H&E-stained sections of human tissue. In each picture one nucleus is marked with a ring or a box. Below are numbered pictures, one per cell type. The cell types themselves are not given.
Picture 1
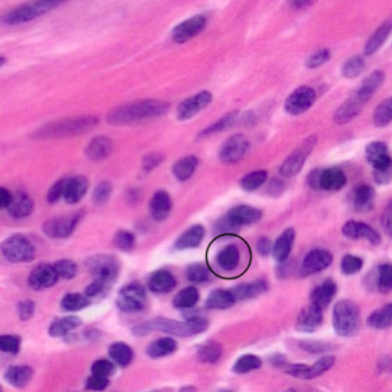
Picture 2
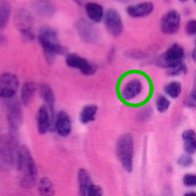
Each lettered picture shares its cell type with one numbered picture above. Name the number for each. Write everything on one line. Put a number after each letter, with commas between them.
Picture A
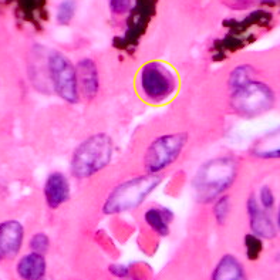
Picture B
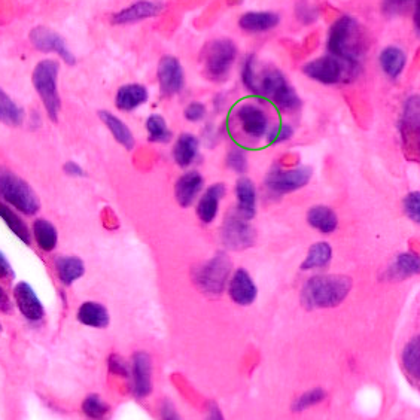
A 1, B 1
